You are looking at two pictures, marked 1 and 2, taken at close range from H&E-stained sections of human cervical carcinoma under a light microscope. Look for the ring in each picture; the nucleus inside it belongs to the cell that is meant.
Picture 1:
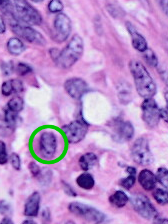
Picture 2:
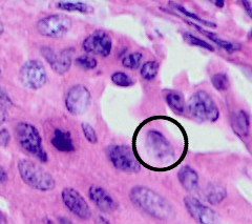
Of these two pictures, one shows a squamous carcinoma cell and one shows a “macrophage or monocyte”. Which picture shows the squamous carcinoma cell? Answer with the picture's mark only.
2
